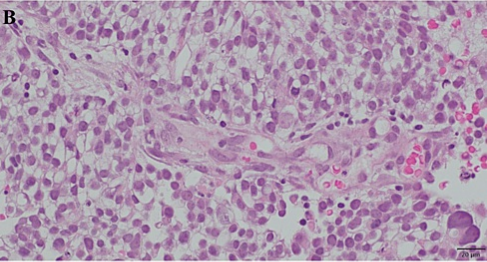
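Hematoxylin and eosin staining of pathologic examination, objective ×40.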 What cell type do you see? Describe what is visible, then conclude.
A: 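Many cells have pale, nearly empty-looking cytoplasm. Nuclei are round and enlarged, varying in size. Cells lie crowded in sheets around a thin strand of stroma.
Conclusion: atypical cells with clear cytoplasm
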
